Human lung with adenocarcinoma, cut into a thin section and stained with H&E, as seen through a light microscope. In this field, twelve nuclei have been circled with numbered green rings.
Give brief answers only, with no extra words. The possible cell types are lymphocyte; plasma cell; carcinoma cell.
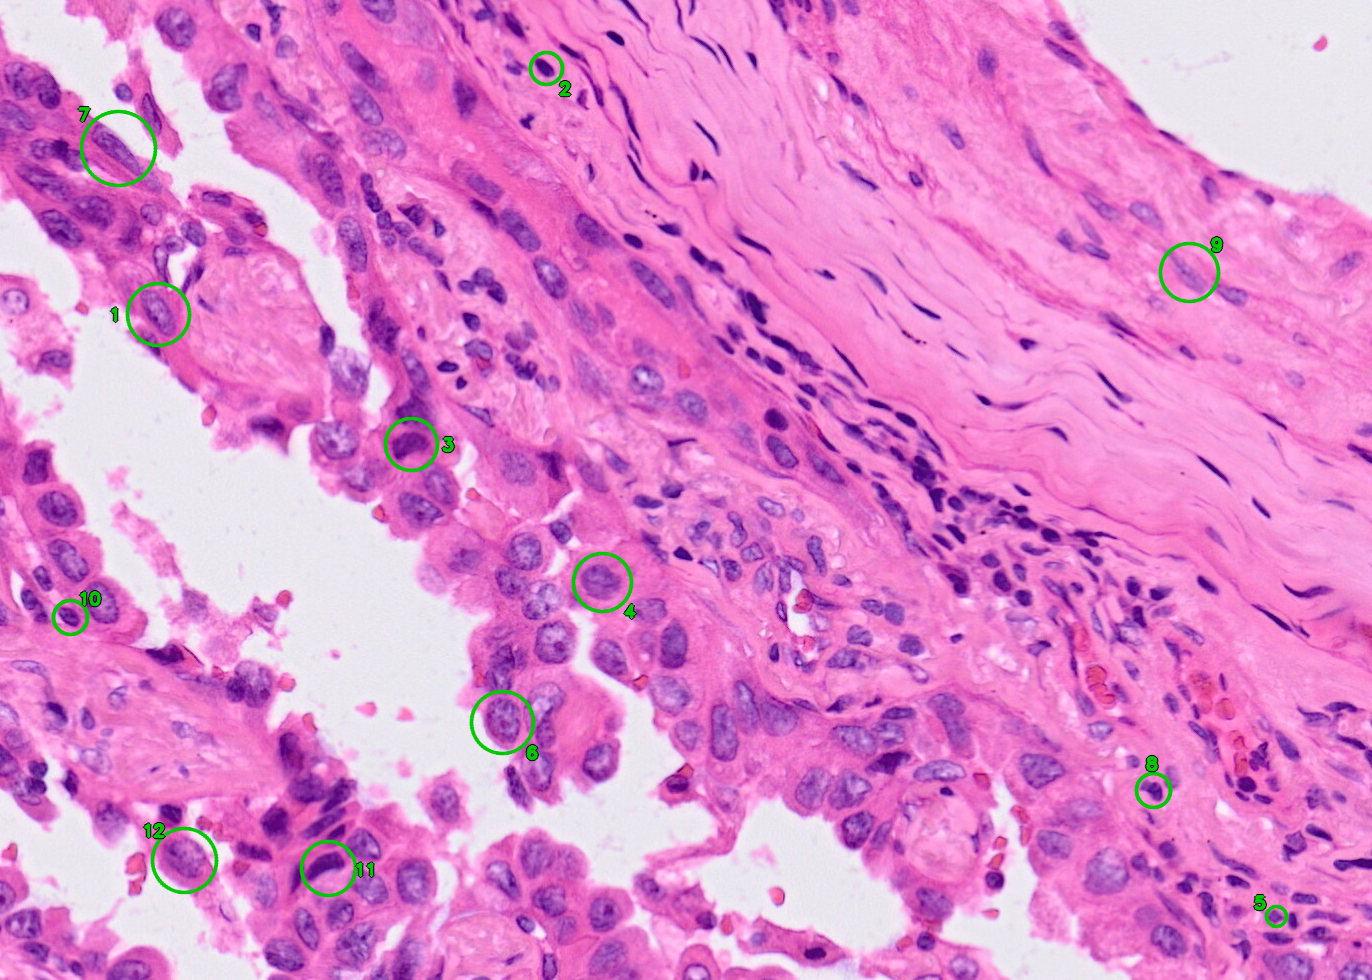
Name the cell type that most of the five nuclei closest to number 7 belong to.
lymphocyte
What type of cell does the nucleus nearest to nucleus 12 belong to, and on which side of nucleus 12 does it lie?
a plasma cell above nucleus 12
